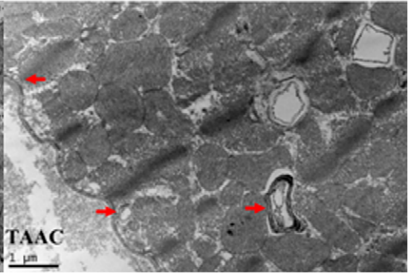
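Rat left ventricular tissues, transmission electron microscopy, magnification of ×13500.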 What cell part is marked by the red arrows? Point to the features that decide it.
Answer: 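The red arrows point to membrane-bound vacuolar profiles within the muscle cytoplasm. One marked vacuole holds dark, electron-dense material inside a clear space. That points to this answer: Autophagic vacuoles.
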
